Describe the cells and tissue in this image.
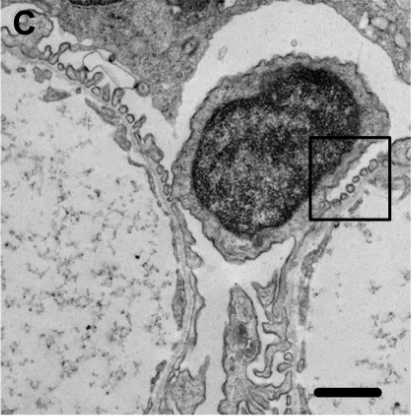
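The cell has a large oval nucleus with dense, clumped chromatin, surrounded by a thin rim of cytoplasm. Further thin, branching cytoplasmic processes with many such small profiles line pale spaces above and below. Large pale spaces containing fine granular material flank the structure.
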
